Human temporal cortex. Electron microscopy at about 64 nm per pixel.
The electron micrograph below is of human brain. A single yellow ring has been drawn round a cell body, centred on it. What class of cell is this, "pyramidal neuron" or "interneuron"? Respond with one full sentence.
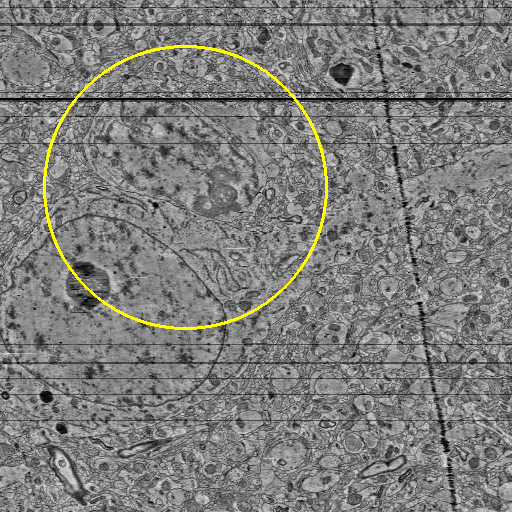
In the micrograph, the cell centred inside the yellow ring is an interneuron.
